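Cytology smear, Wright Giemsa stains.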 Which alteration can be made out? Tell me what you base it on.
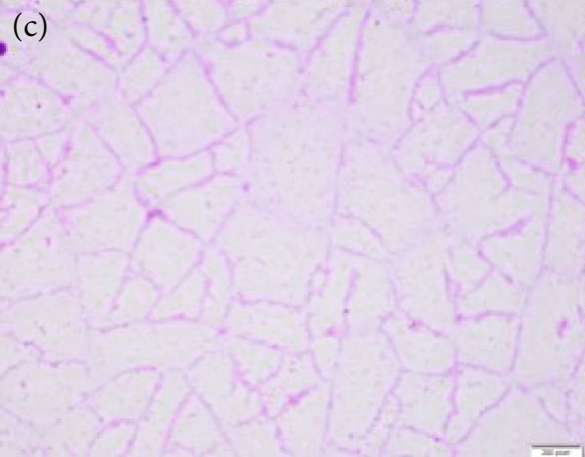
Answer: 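Pale pink-lilac background with fine cracking lines. On this evidence: paucicellular, proteinaceous fluid.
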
